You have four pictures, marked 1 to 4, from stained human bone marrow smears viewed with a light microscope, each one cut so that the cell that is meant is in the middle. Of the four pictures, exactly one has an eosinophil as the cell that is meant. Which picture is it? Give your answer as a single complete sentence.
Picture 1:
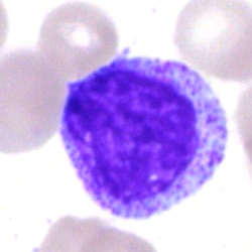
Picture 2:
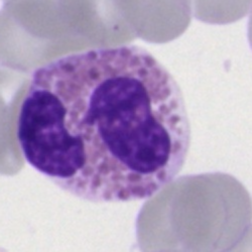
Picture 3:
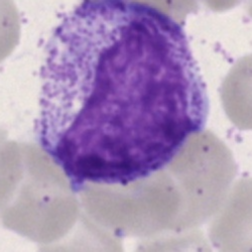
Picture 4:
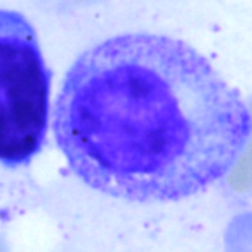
Picture 2 shows the eosinophil.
